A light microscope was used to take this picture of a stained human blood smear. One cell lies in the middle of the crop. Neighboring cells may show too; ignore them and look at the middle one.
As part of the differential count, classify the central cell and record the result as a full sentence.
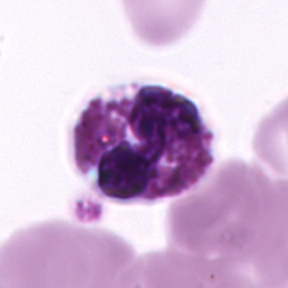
In the center of this field lies an eosinophil.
